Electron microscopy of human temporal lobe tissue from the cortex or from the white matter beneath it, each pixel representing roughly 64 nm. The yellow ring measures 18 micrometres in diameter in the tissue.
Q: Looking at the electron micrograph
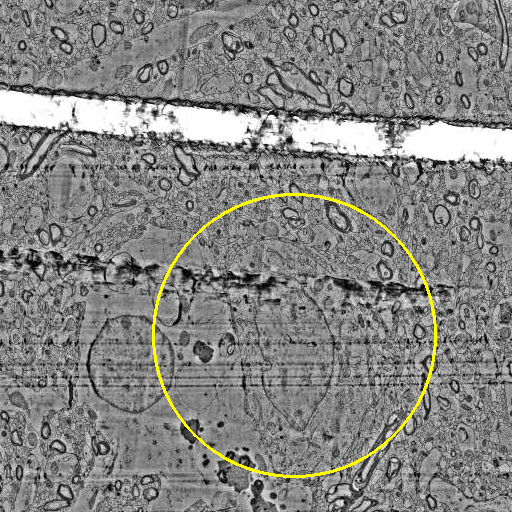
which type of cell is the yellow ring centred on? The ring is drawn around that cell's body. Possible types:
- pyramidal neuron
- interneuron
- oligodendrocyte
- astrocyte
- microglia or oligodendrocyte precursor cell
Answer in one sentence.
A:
The yellow ring is centred on a pyramidal neuron.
